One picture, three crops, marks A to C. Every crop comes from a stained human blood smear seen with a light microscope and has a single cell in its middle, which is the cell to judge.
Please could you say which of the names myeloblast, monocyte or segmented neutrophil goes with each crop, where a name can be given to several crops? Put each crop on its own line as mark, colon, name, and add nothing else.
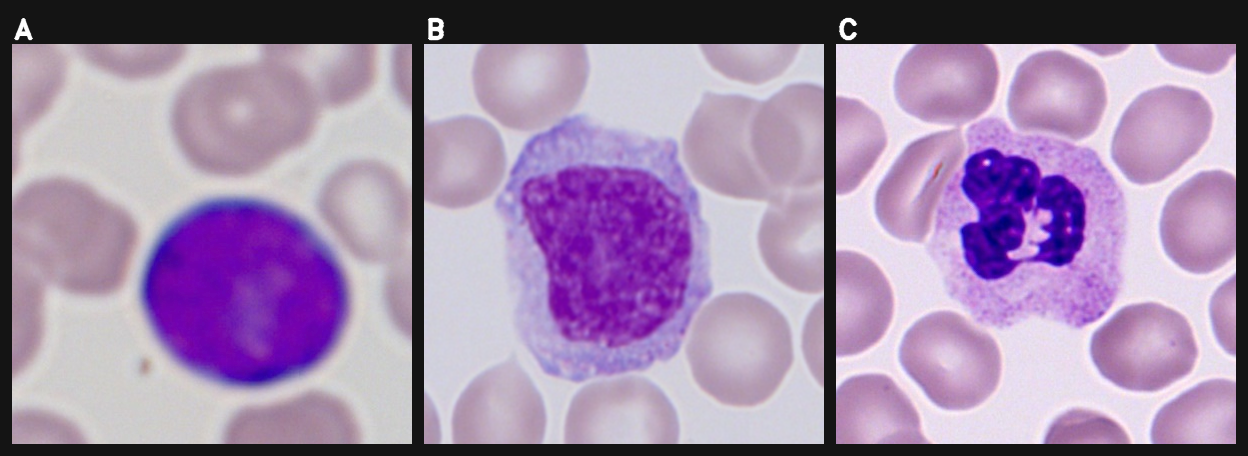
A: myeloblast
B: monocyte
C: segmented neutrophil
